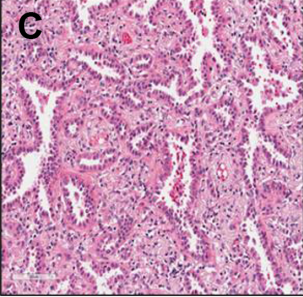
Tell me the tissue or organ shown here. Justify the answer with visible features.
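Crowded epithelial cells form glands. Nuclei are enlarged and crowded along the gland walls.
Adenocarcinoma.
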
